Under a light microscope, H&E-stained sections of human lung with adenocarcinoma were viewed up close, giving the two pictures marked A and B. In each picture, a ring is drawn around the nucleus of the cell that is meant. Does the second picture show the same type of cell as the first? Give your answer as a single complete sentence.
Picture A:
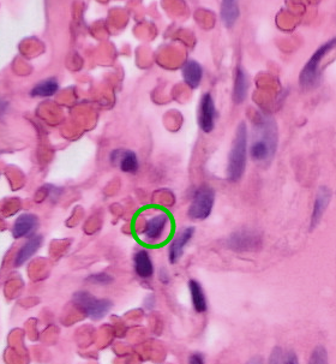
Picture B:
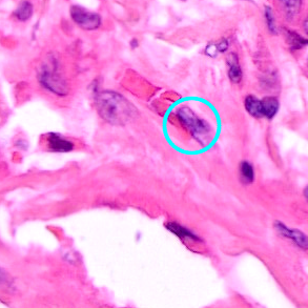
No; the cell in picture A is a type I pneumocyte, while the one in picture B is an endothelial cell.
